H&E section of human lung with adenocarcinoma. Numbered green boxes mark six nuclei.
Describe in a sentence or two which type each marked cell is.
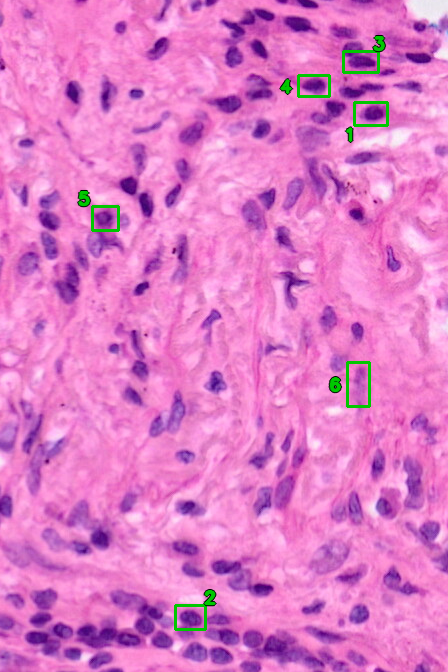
Cells 1, 3, 4 and 5 are plasma cells. Cell 2 is a lymphocyte. Cell 6 is a smooth muscle cell or pericyte.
